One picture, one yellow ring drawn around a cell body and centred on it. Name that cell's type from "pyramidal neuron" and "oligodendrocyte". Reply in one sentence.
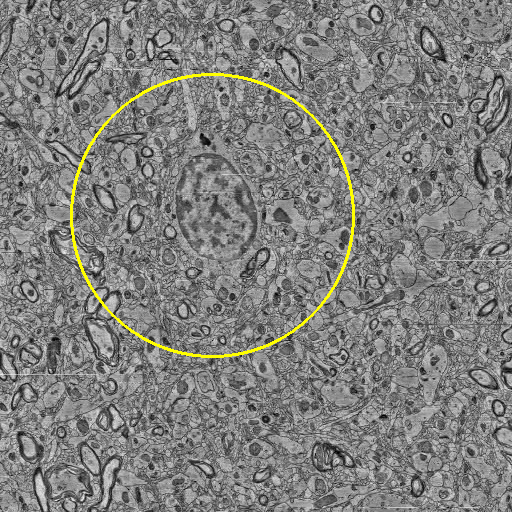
Centred in the ring is an oligodendrocyte.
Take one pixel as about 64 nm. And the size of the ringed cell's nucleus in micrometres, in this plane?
The nucleus measures about 7 by 5 micrometres in this plane.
